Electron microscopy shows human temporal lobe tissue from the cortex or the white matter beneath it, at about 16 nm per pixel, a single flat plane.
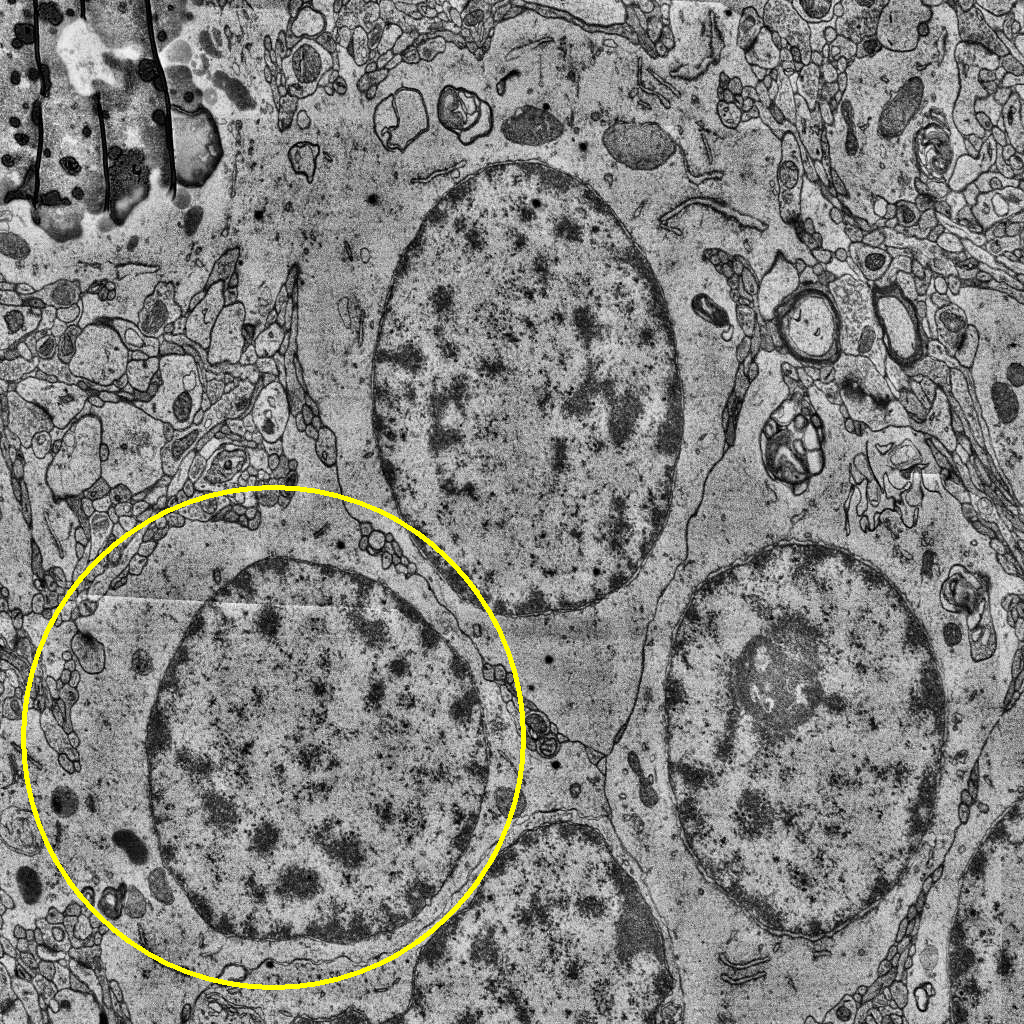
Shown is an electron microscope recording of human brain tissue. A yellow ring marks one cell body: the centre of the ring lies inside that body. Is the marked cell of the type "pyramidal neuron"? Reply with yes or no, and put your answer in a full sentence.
No, in the picture, the cell containing the ring's centre has a different type.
